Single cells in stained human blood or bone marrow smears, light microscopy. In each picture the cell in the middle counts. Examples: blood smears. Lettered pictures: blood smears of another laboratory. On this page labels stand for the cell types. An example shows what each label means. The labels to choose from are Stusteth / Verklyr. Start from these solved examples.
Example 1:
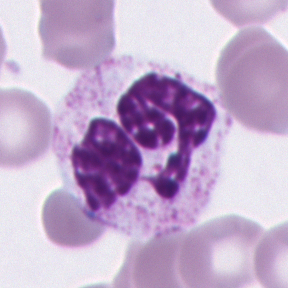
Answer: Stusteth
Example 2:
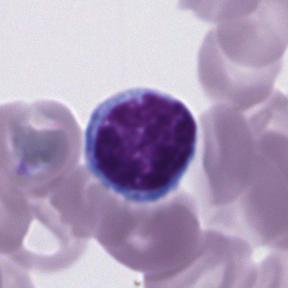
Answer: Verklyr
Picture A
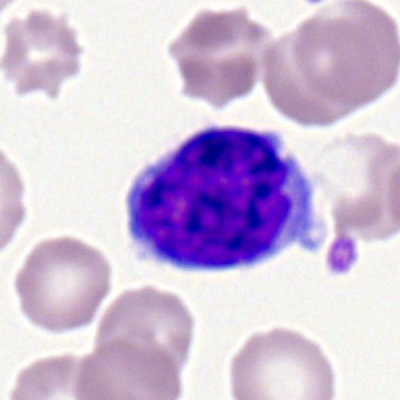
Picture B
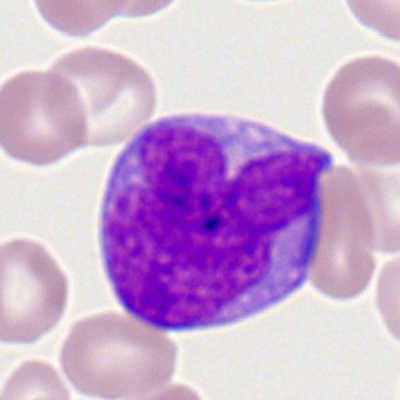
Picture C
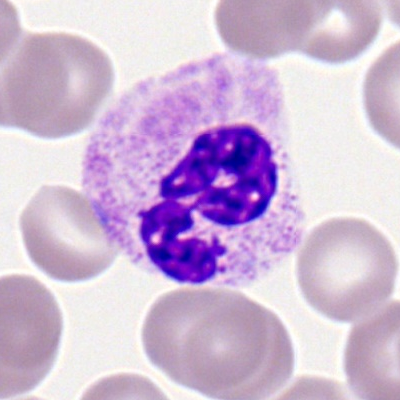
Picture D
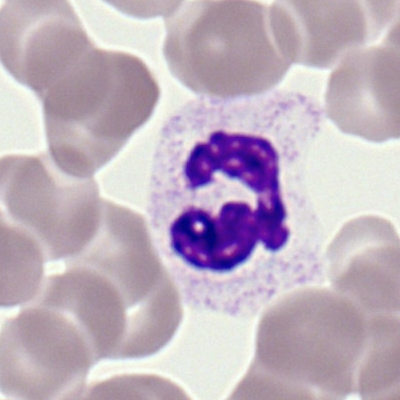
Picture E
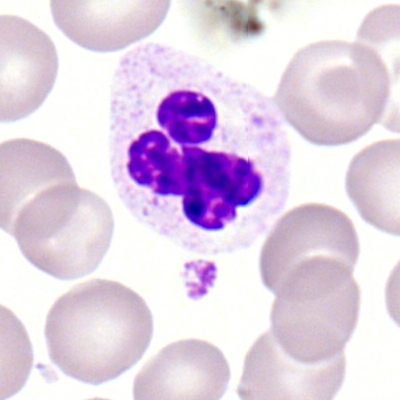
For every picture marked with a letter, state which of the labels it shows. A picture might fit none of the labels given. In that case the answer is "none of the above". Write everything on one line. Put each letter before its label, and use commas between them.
A Verklyr, B none of the above, C Stusteth, D Stusteth, E Stusteth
